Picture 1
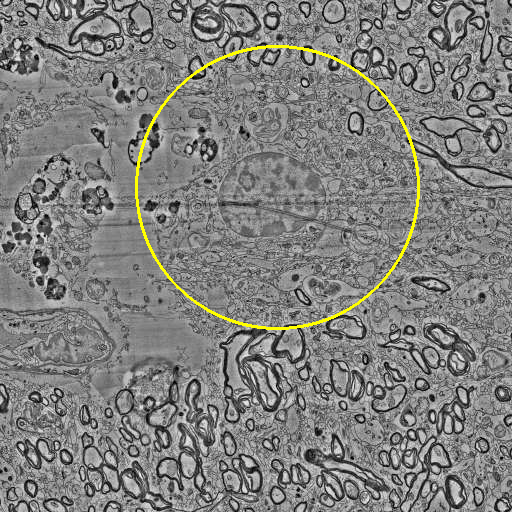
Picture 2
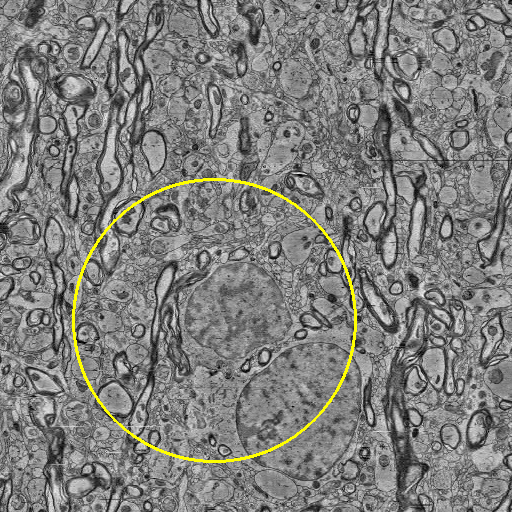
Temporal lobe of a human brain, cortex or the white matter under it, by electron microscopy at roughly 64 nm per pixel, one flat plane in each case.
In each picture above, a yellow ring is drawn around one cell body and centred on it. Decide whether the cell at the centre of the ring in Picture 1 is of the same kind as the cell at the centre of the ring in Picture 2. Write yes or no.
no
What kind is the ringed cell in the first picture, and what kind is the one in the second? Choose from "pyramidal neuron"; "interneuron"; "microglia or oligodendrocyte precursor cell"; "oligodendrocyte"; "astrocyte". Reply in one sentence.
The first cell is a microglial cell or oligodendrocyte precursor cell; the second is an oligodendrocyte.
